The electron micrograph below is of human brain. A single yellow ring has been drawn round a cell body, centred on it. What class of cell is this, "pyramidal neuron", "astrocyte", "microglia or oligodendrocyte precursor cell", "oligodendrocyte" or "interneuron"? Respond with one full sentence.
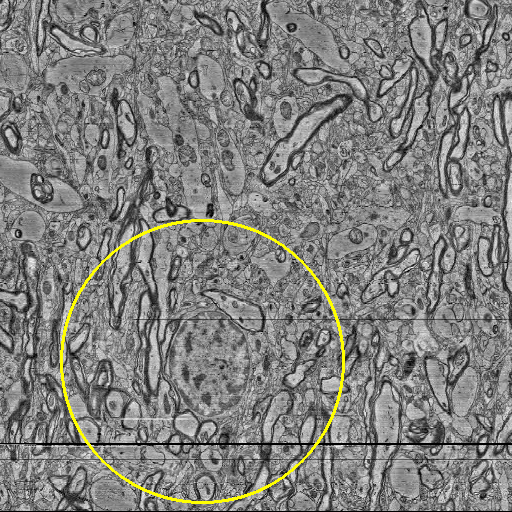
In the micrograph, the cell centred inside the yellow ring is an oligodendrocyte.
